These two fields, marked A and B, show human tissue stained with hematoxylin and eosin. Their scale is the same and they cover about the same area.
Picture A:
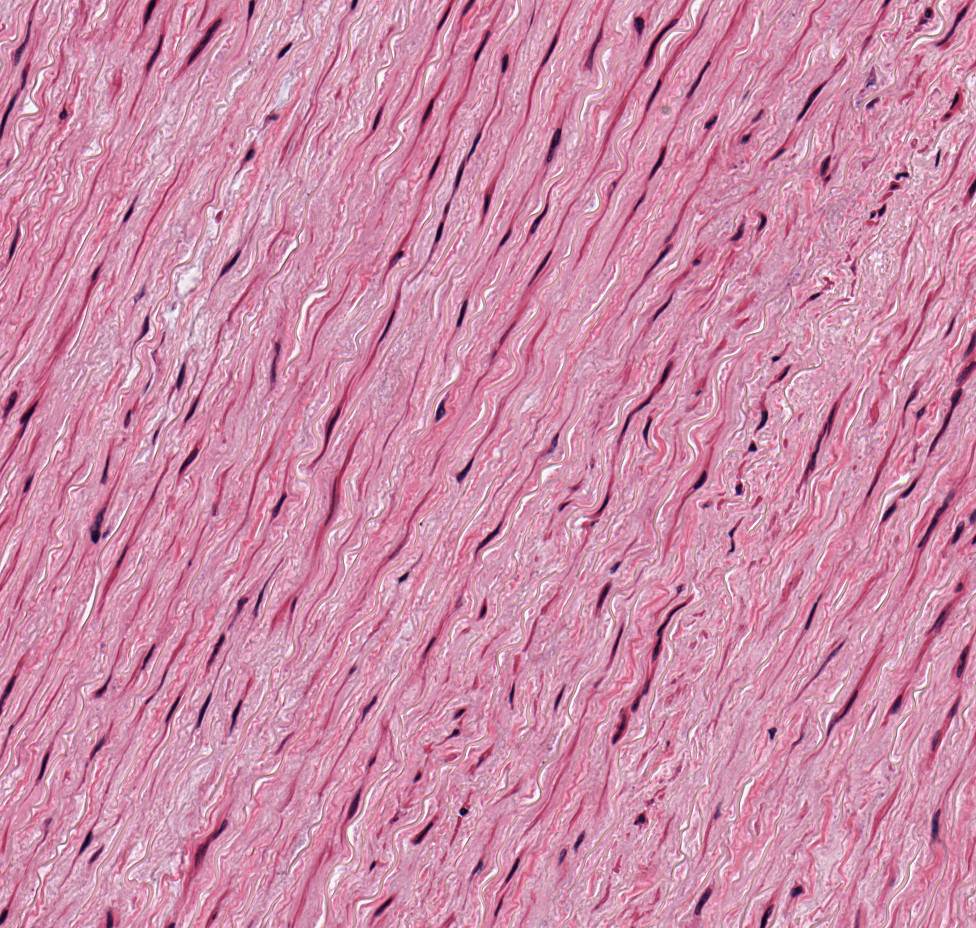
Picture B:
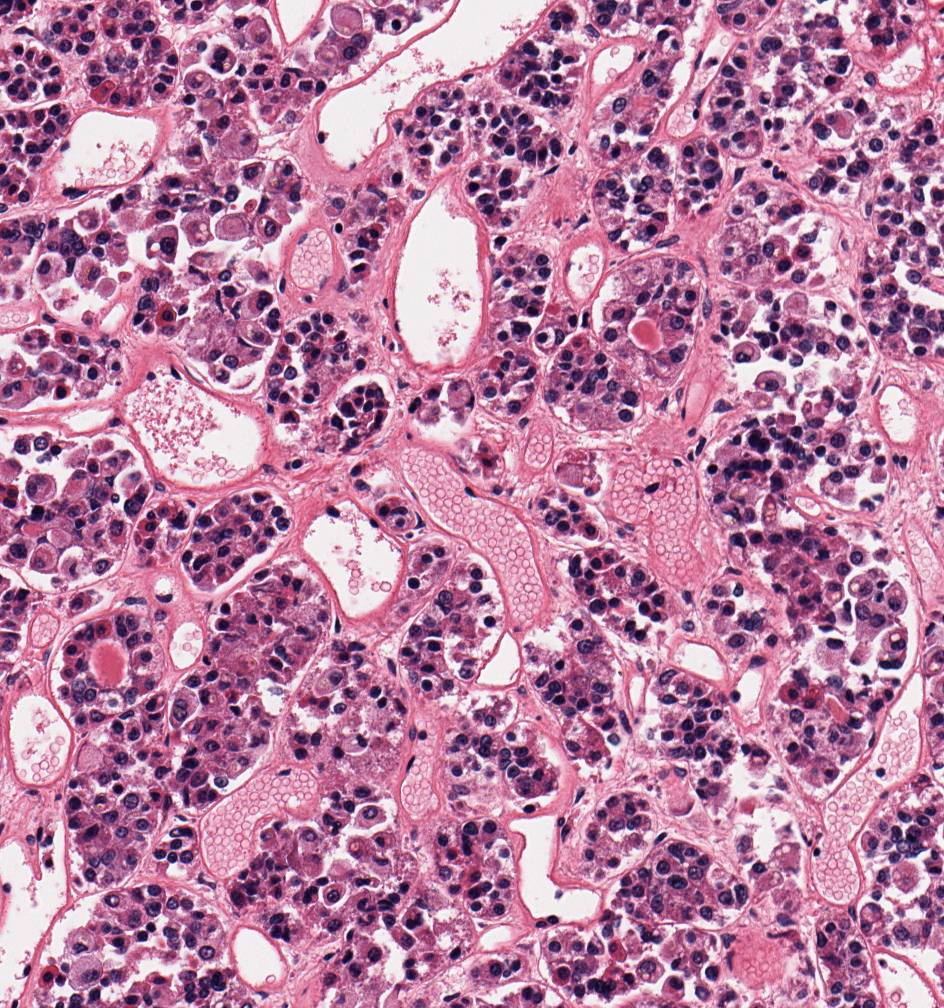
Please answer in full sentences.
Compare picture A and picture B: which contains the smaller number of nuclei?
It is picture A that has fewer nuclei in it.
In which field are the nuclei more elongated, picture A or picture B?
The nuclei are more elongated in picture A.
